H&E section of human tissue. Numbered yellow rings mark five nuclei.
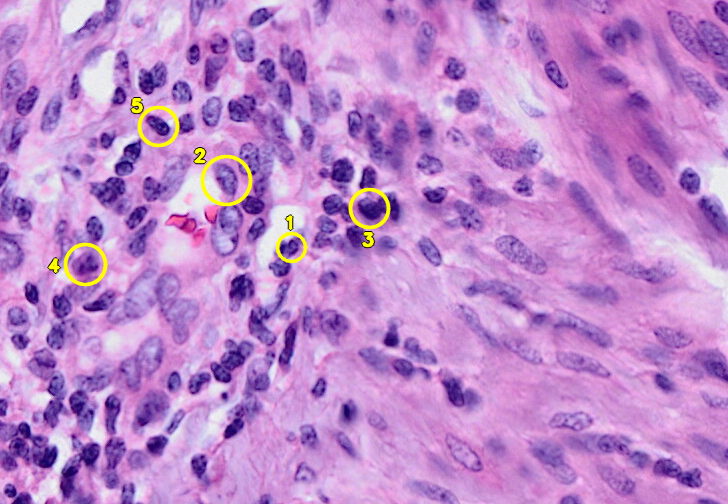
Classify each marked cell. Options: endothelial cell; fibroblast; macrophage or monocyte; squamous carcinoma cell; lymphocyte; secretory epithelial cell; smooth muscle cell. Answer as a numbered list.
1. lymphocyte
2. endothelial cell
3. lymphocyte
4. macrophage or monocyte
5. lymphocyte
